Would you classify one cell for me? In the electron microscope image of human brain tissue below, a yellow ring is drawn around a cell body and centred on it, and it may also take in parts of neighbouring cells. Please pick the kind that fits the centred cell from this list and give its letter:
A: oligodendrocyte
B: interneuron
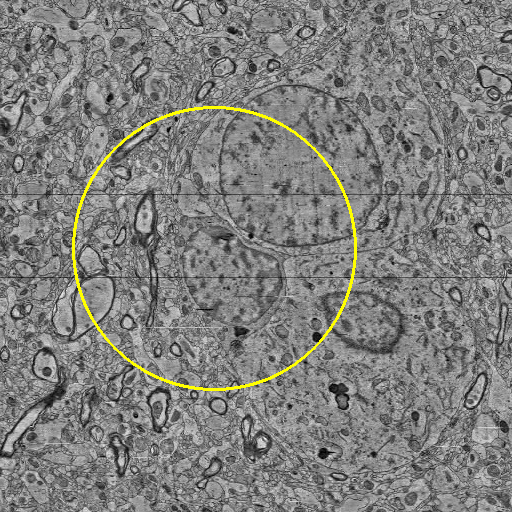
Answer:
A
